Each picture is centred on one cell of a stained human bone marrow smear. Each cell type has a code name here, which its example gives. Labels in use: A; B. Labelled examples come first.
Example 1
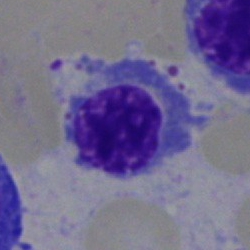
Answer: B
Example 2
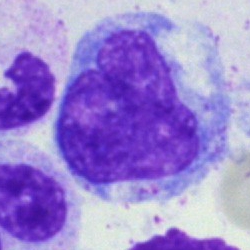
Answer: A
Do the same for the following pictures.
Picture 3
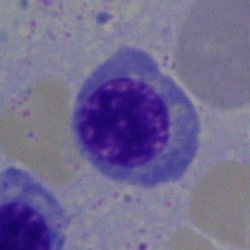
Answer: B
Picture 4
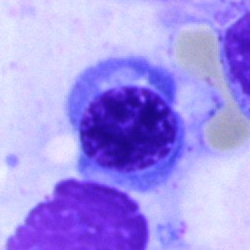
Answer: B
